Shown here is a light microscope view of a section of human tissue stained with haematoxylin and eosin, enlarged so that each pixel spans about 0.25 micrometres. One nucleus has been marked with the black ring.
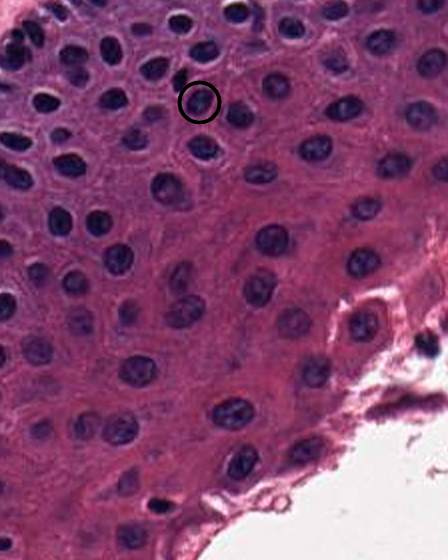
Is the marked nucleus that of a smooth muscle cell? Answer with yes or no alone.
no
